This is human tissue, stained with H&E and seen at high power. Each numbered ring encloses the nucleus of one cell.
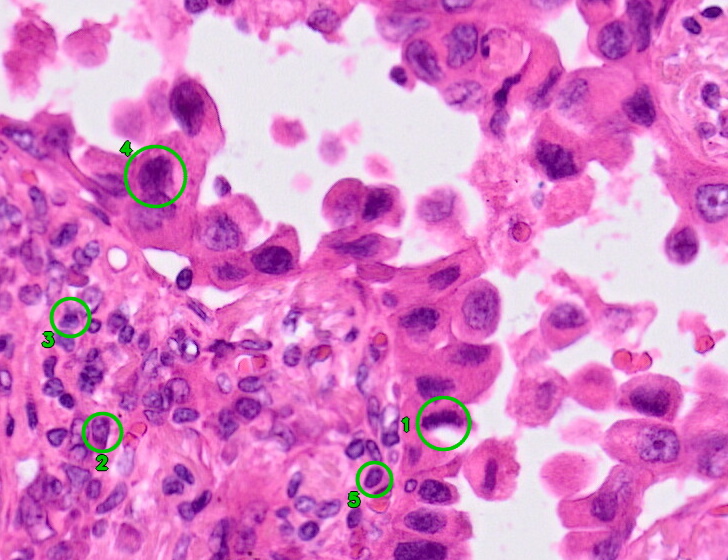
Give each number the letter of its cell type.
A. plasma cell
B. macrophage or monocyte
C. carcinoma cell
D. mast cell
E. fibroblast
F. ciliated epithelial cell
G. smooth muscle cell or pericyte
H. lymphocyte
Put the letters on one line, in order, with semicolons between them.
C; A; H; C; H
